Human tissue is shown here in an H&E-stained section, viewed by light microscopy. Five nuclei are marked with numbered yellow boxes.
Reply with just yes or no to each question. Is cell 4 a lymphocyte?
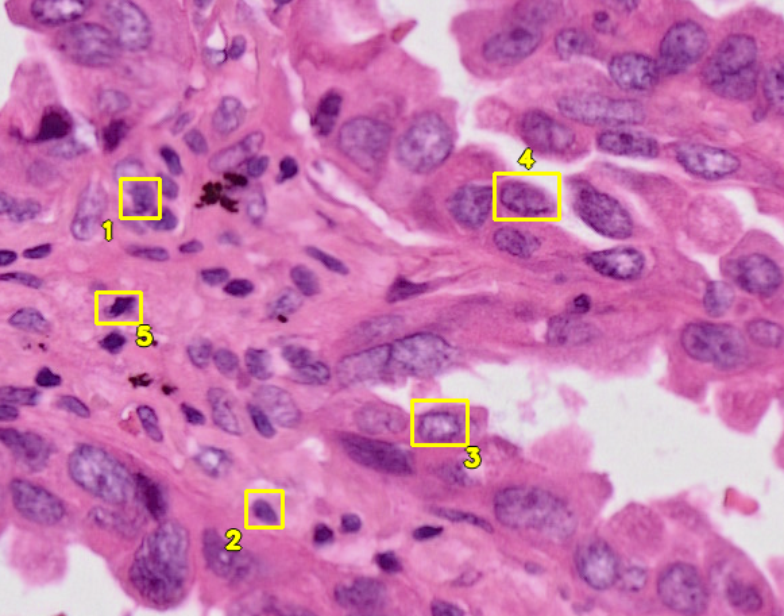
no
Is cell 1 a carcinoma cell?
no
